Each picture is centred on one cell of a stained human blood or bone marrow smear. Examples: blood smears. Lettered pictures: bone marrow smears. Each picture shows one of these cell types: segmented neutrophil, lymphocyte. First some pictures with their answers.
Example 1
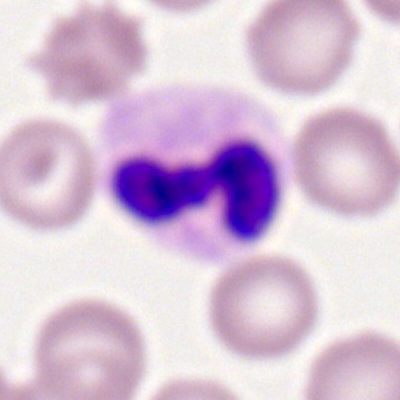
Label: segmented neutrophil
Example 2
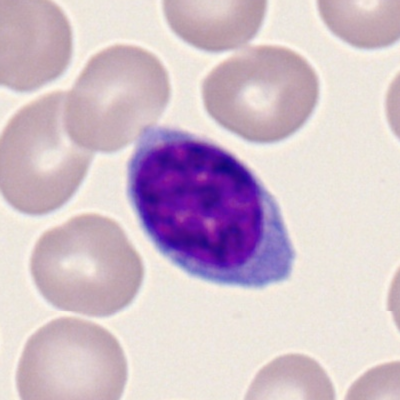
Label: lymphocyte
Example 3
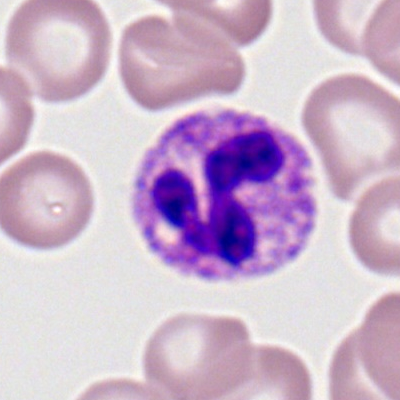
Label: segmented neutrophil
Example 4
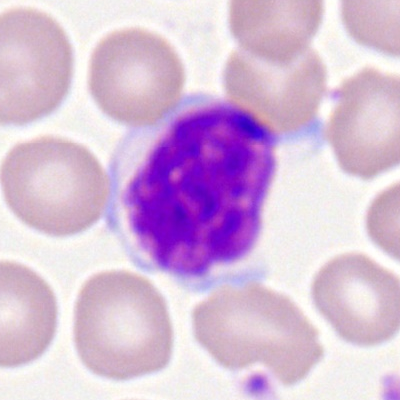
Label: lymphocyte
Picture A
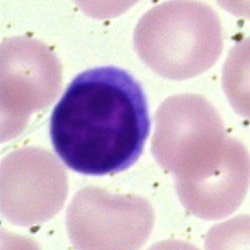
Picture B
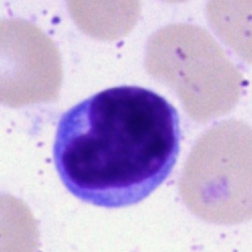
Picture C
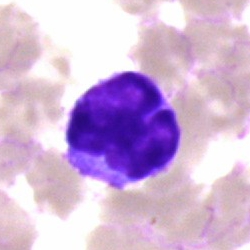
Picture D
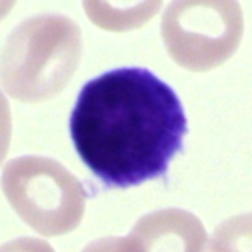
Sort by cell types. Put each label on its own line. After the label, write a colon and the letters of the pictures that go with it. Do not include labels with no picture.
lymphocyte: A, B, C, D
